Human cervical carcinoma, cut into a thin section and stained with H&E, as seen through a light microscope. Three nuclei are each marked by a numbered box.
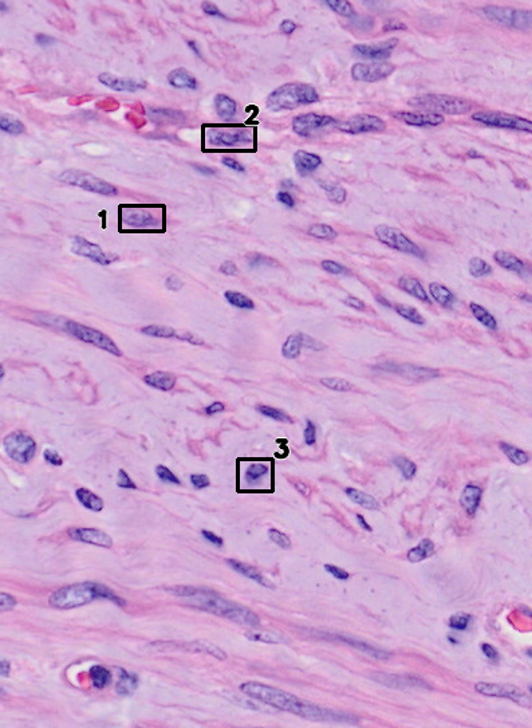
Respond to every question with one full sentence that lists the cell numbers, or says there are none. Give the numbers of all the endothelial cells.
Nothing but cell 2 is an endothelial cell among the numbered ones.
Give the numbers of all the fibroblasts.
Among the numbered cells, the one that is a fibroblast is cell 3 alone.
